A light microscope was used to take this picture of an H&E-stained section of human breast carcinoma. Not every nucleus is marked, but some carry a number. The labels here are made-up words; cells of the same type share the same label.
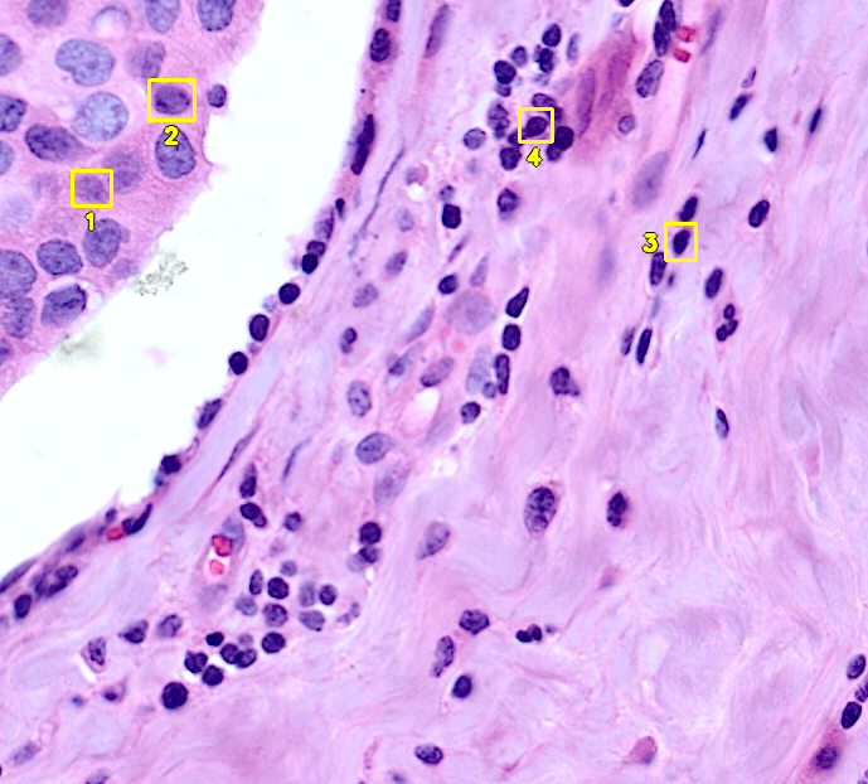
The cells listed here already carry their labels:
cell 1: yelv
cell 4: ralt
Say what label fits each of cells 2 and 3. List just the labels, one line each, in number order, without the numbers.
yelv
ralt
